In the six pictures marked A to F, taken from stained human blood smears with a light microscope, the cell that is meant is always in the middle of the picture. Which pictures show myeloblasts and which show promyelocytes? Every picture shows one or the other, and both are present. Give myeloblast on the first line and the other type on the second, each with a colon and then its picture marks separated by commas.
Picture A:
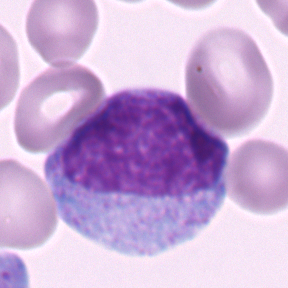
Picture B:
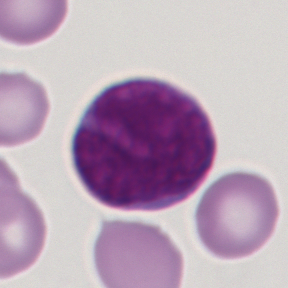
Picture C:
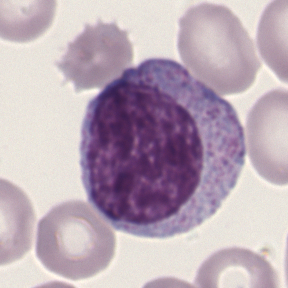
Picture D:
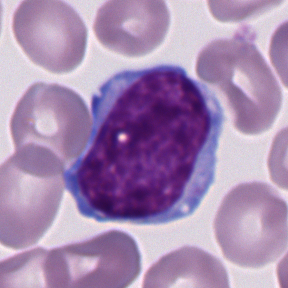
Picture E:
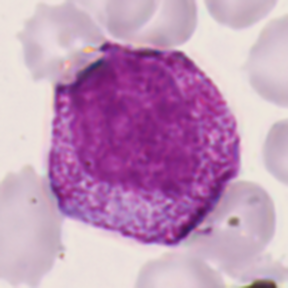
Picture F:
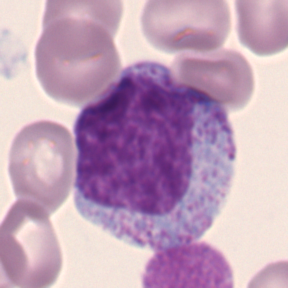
myeloblast: B, D
promyelocyte: A, C, E, F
